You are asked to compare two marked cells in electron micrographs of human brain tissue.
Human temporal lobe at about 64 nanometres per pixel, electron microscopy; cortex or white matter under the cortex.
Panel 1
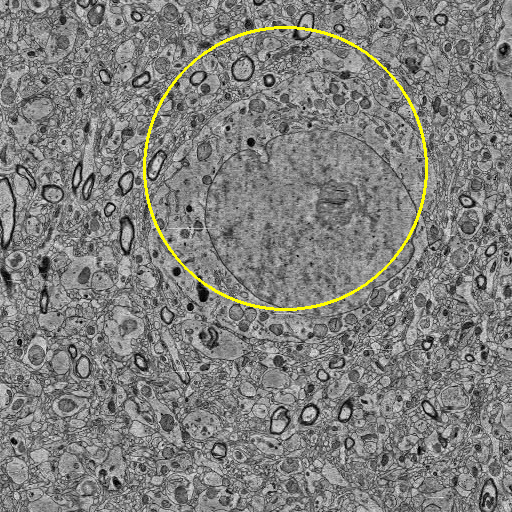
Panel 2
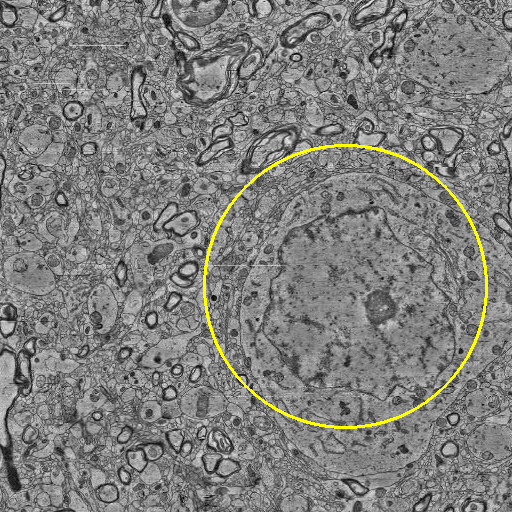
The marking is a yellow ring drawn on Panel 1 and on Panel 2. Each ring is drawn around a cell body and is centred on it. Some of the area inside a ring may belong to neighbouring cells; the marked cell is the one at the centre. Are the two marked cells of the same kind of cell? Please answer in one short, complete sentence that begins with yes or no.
Yes, the two marked cells are of the same kind.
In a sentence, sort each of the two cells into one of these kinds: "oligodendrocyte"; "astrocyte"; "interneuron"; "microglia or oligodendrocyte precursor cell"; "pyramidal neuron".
Both cells are the same kind, each one being an interneuron.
